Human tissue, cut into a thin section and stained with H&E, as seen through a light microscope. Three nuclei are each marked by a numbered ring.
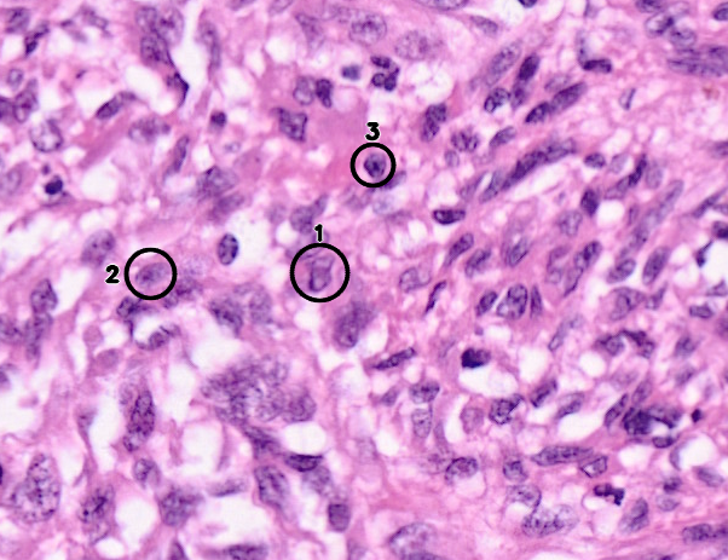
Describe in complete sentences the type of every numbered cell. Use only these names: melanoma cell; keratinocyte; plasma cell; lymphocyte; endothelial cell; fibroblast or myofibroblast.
Cells 1 and 2 are melanoma cells. Cell 3 is a lymphocyte.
